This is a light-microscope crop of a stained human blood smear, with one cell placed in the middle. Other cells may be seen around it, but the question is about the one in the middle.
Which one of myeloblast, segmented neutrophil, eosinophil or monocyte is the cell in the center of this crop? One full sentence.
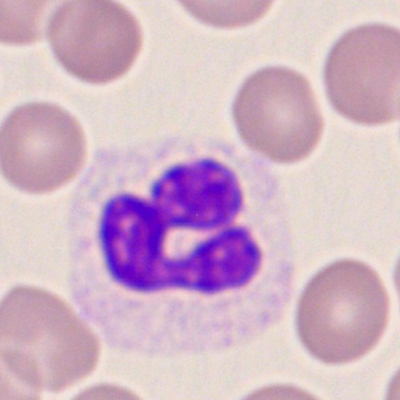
This particular crop is centered on a segmented neutrophil.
